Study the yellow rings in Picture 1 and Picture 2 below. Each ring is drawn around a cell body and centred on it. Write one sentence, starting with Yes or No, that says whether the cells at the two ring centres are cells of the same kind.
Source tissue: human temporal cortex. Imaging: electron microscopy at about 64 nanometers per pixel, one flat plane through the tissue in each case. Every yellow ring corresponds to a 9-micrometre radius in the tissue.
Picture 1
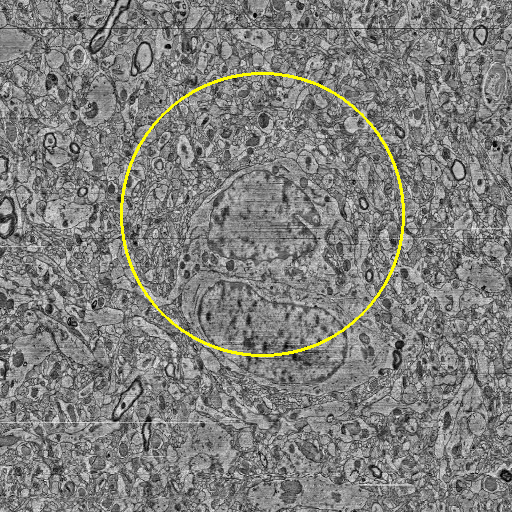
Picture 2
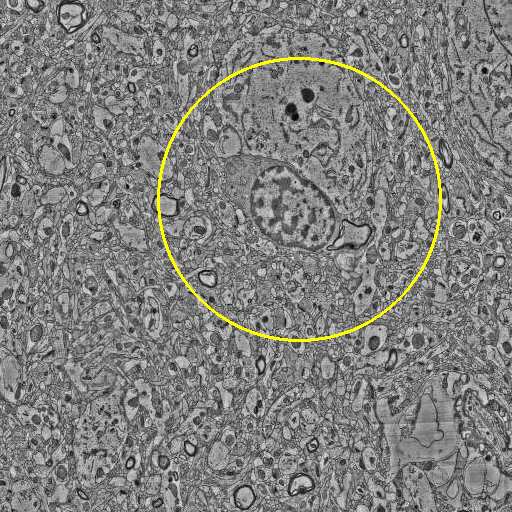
No, the cells at the ring centres are of two kinds.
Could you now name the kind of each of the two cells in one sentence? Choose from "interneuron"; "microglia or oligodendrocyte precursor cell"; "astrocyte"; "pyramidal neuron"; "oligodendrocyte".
The first ring encloses an interneuron; the second ring encloses an oligodendrocyte.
